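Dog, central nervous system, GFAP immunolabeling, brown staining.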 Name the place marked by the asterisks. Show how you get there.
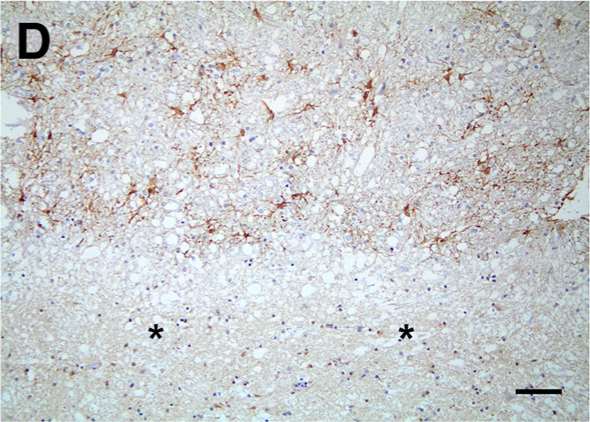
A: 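The asterisks lie in a pale, vacuolated area with almost no brown star-shaped cells. Brown cells crowd the tissue bordering this area.
Hence: necrotic lesion.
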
